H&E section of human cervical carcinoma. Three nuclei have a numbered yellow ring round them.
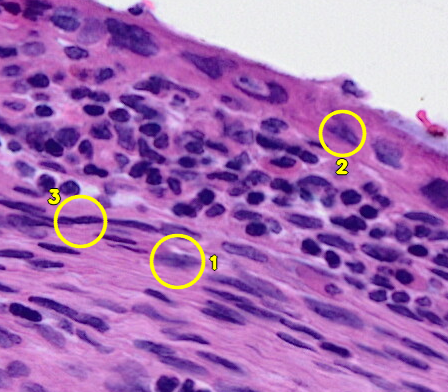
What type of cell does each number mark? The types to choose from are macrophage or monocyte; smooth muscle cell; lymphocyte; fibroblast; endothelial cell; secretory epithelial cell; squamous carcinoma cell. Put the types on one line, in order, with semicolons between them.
fibroblast; secretory epithelial cell; fibroblast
